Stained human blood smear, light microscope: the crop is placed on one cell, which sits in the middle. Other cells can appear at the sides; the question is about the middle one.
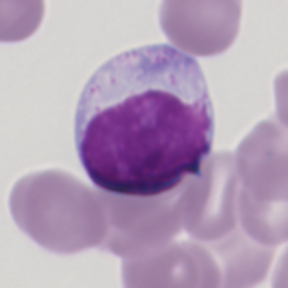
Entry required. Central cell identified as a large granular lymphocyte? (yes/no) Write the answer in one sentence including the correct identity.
Yes, the one cell at the centre is a large granular lymphocyte.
